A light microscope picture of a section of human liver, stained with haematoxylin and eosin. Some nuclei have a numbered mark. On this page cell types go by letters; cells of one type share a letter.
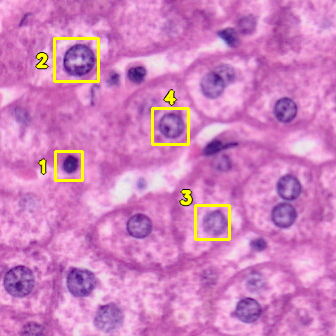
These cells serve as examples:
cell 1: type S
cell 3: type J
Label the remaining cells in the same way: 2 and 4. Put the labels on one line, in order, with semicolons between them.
type J; type J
